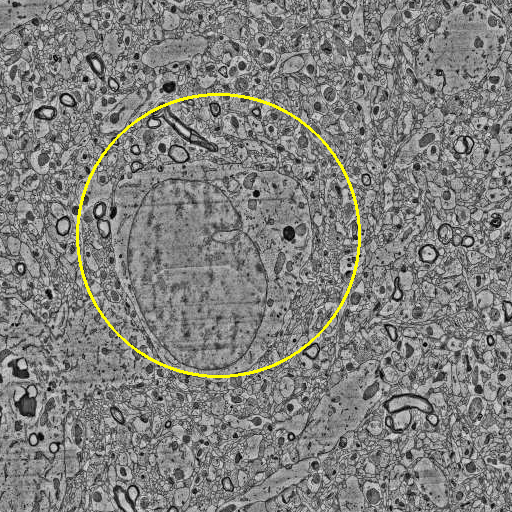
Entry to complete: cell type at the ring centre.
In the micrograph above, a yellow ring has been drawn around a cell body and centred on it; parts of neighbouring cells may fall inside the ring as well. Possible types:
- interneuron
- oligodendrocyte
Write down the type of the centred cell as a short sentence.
The ring is centred on an interneuron.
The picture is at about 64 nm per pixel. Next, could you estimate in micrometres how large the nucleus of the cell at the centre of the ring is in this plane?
In this plane, approximately 12 by 9 micrometers.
